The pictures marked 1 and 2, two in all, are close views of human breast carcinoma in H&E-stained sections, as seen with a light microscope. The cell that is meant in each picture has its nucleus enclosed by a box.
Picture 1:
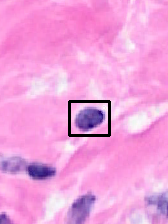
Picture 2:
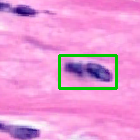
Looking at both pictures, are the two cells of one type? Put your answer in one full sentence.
Yes, the two pictures both show lymphocytes.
